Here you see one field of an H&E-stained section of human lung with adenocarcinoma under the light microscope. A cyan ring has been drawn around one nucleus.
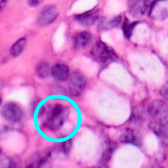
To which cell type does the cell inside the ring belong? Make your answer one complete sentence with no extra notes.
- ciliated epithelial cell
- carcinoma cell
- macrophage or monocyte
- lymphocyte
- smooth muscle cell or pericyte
In this section of tissue, the cell inside the ring is a ciliated epithelial cell.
